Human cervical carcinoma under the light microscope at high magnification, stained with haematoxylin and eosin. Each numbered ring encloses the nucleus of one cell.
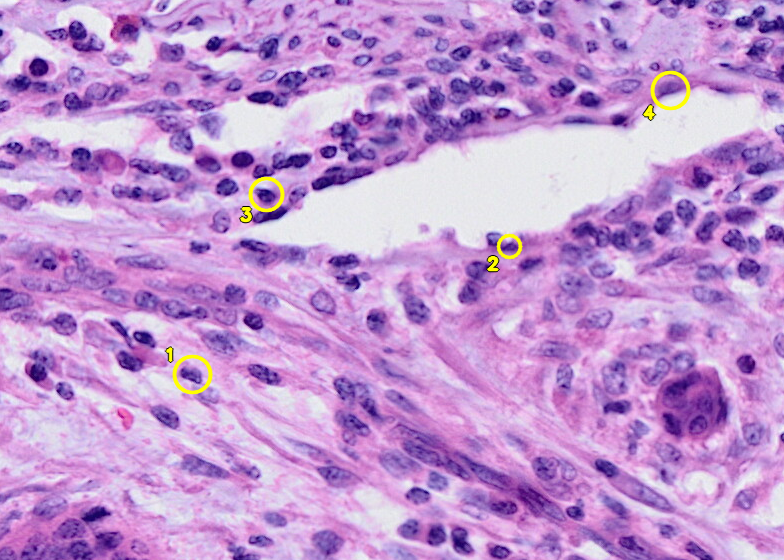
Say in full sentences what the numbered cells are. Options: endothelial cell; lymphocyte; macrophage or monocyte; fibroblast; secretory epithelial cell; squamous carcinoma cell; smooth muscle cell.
Cell 1 is a lymphocyte, cell 2 is an endothelial cell, cell 3 is a lymphocyte and cell 4 is an endothelial cell.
